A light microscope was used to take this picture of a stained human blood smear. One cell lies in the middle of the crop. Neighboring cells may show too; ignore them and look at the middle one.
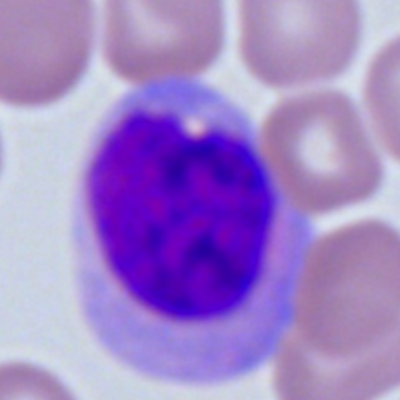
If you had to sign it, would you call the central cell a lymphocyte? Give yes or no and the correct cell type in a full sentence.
No, the central cell is identified not as a lymphocyte but as a monocyte.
